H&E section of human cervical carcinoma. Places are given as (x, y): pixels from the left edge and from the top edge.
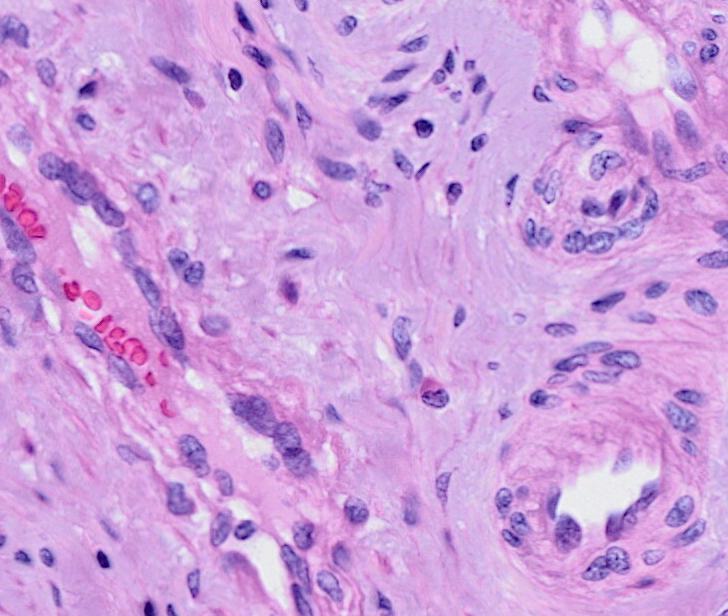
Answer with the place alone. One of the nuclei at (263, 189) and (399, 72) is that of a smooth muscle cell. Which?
(263, 189)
